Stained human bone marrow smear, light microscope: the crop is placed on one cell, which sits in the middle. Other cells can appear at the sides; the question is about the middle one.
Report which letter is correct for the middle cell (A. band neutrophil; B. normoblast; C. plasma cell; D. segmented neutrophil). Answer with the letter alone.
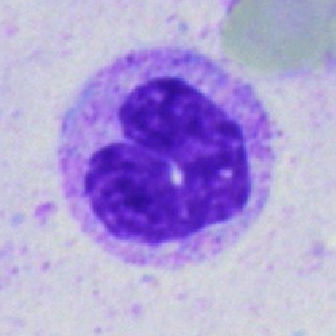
A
